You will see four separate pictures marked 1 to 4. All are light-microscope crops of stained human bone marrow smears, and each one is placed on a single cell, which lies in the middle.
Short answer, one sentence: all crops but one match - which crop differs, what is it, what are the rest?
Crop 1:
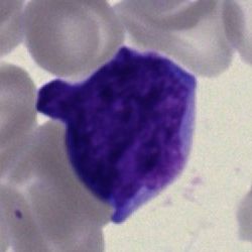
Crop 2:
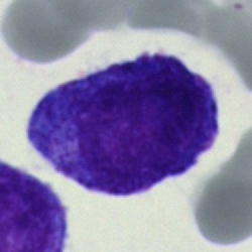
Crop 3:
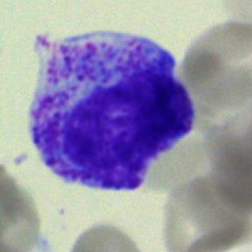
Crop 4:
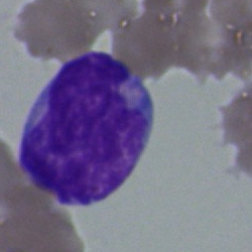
The cells centred in the other crops are all blasts, but crop 3 is a myelocyte.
